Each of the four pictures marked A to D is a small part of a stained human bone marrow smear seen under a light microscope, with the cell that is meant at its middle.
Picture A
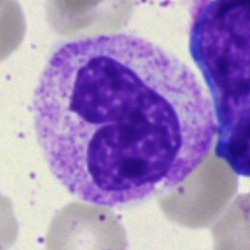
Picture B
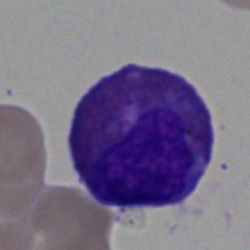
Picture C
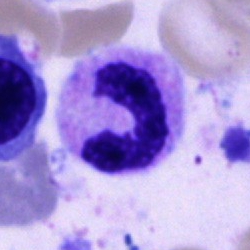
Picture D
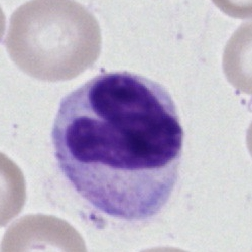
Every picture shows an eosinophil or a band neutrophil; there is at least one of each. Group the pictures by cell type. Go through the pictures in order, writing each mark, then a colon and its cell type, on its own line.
A: band neutrophil
B: eosinophil
C: band neutrophil
D: band neutrophil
